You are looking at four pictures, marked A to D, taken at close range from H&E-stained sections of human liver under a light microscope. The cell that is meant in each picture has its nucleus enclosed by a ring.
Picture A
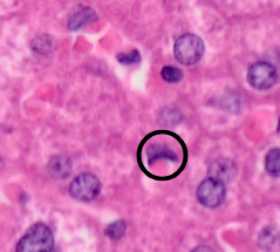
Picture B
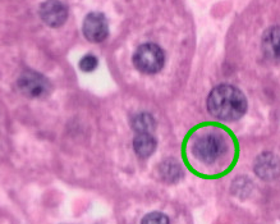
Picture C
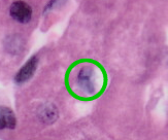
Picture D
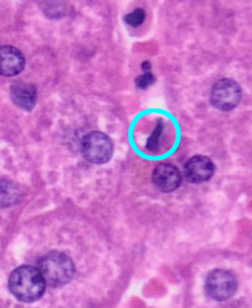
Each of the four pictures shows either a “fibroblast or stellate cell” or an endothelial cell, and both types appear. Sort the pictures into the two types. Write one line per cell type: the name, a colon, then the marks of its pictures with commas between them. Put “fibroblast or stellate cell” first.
fibroblast or stellate cell: B
endothelial cell: A, C, D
